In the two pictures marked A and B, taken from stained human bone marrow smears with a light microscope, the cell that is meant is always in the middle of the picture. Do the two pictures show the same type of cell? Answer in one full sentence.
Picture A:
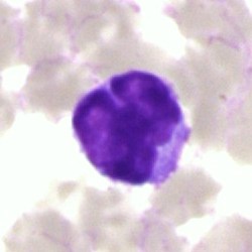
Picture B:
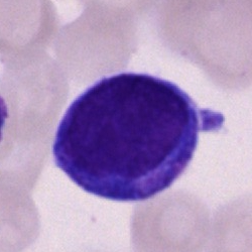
No. Picture A shows a lymphocyte, but picture B shows a blast.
